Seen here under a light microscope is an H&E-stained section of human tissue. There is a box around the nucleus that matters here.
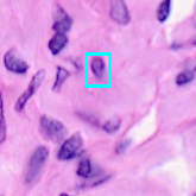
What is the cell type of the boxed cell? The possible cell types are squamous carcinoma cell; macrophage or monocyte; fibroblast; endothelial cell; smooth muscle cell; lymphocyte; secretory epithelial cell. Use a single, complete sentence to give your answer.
The cell type of the boxed cell is that of a fibroblast.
